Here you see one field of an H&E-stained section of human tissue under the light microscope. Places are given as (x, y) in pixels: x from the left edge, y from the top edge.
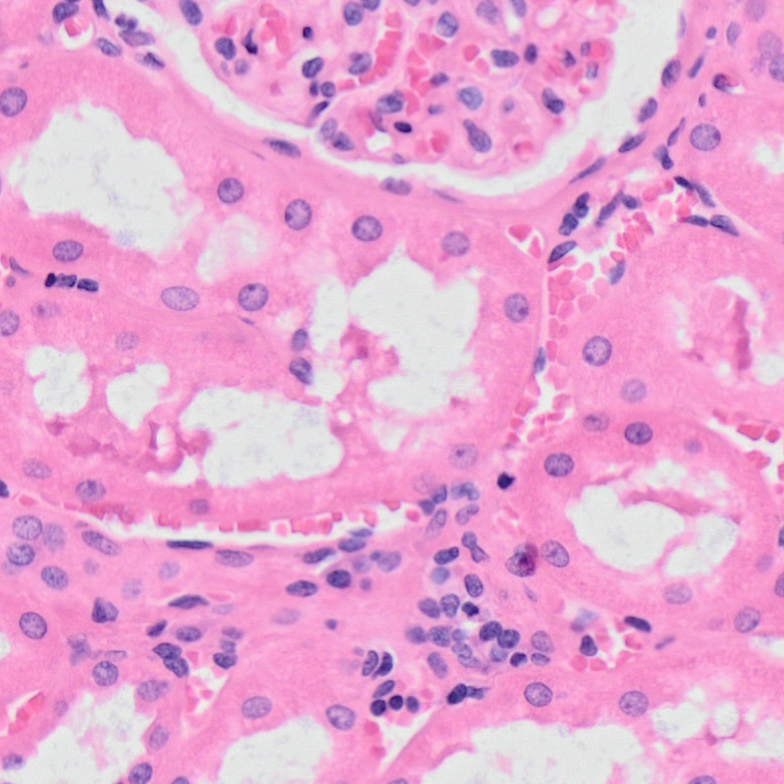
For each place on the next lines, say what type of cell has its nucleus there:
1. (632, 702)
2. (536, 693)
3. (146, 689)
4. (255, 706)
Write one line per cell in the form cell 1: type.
cell 1: proximal tubule cell
cell 2: proximal tubule cell
cell 3: loop of Henle or distal tubule cell
cell 4: proximal tubule cell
